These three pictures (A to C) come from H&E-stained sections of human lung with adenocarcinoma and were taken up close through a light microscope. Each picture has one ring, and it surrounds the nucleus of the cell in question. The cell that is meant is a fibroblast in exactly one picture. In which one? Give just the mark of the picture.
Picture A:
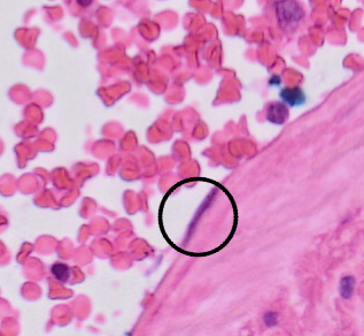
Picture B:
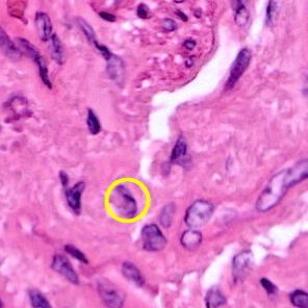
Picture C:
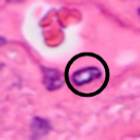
B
